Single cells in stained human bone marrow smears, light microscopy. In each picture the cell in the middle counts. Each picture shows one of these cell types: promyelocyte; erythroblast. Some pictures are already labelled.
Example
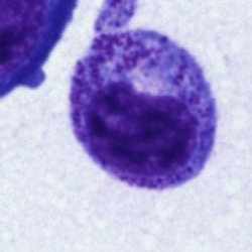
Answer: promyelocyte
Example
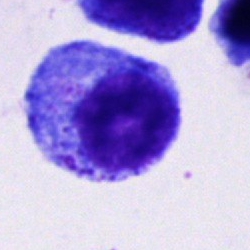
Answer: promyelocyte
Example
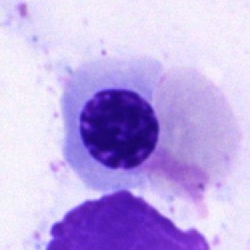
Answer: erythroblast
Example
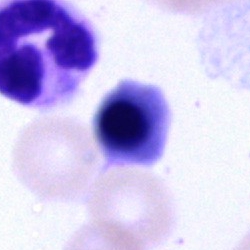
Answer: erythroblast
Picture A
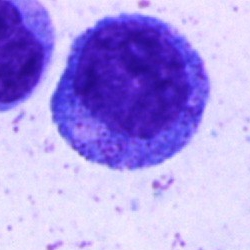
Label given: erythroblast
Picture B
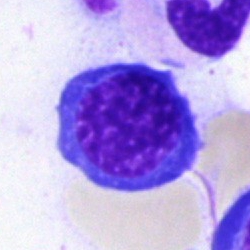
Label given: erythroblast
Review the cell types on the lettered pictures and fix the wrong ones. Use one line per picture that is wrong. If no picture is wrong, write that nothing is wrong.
A: promyelocyte, not erythroblast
